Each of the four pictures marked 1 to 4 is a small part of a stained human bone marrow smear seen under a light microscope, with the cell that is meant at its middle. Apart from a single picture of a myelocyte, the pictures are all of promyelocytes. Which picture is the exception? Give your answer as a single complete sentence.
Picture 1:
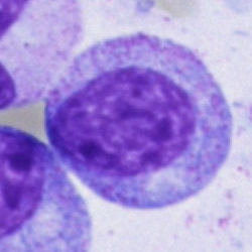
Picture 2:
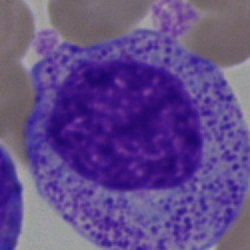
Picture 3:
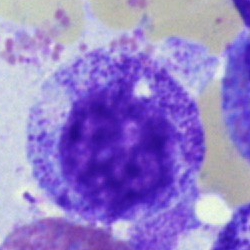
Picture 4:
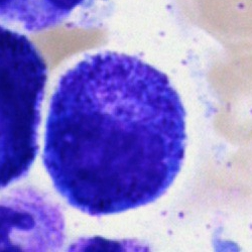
It is picture 1 that shows the myelocyte.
